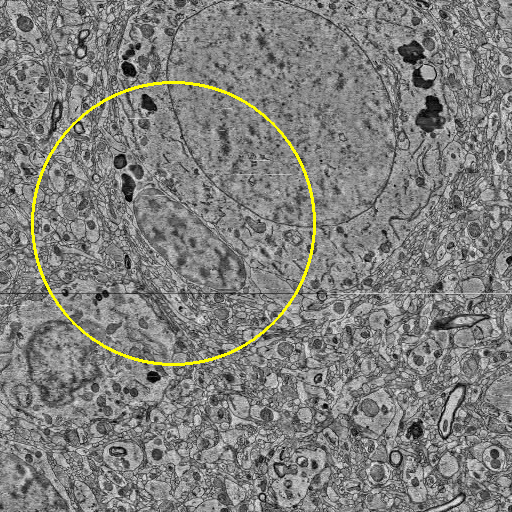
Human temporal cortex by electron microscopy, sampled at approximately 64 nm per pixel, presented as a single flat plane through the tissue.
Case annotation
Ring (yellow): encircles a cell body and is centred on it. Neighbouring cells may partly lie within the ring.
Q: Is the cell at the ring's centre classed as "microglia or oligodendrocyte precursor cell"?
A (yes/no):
yes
